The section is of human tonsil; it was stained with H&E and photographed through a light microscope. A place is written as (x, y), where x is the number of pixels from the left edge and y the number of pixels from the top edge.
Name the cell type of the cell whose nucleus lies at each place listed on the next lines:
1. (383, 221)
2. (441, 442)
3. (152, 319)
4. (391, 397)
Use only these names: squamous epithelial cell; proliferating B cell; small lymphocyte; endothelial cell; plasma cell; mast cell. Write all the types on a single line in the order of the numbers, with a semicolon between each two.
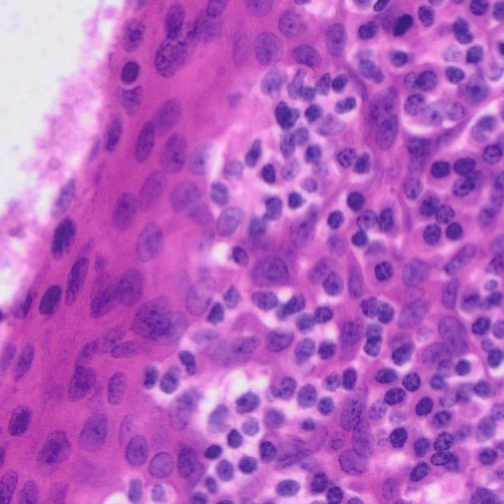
plasma cell; plasma cell; squamous epithelial cell; plasma cell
